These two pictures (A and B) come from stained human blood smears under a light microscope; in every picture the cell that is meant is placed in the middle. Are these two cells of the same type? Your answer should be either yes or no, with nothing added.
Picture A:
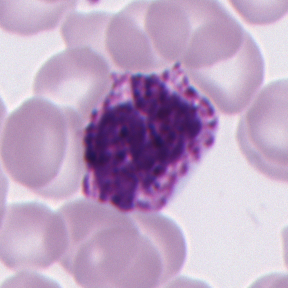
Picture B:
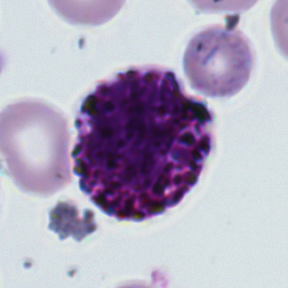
yes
